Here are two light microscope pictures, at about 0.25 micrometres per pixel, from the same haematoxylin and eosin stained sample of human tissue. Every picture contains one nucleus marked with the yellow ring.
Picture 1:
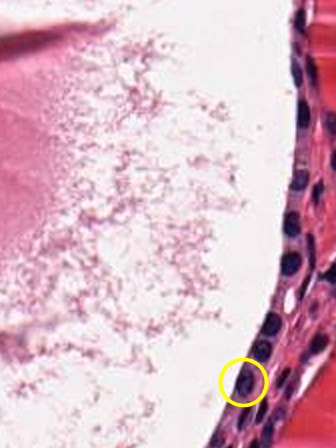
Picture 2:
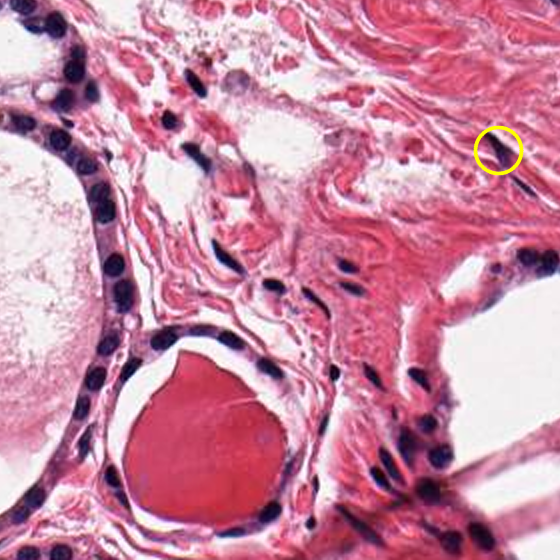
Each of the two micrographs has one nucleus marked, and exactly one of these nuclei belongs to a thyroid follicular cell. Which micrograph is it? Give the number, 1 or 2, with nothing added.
1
